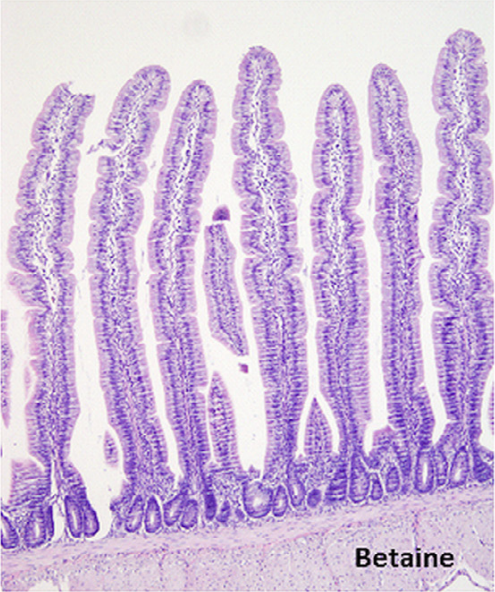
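This is the small-intestinal mucosa, showing tall, slender villi standing side by side in a regular palisade. Each villus is lined by a simple columnar epithelium whose closely packed, elongated nuclei form a dark band just beneath the surface. The core of every villus is a lamina propria made of looser connective tissue with scattered nuclei, running from base to tip. At the villus bases lie rows of round-to-oval crypt profiles. Beneath them is a pale, more lightly stained deeper layer of submucosa and muscle. The tissue stains in shades of purple, with the nuclei darker than the cytoplasm.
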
